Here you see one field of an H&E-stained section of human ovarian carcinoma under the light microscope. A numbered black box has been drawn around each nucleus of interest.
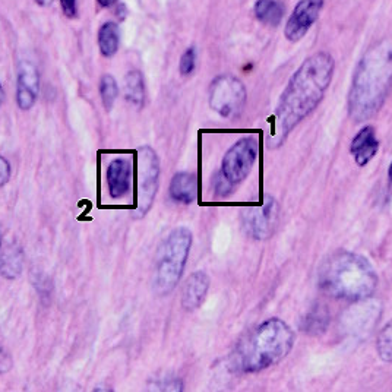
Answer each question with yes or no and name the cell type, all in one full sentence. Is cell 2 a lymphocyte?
Yes, it checks out; the cell labelled 2 is a lymphocyte.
